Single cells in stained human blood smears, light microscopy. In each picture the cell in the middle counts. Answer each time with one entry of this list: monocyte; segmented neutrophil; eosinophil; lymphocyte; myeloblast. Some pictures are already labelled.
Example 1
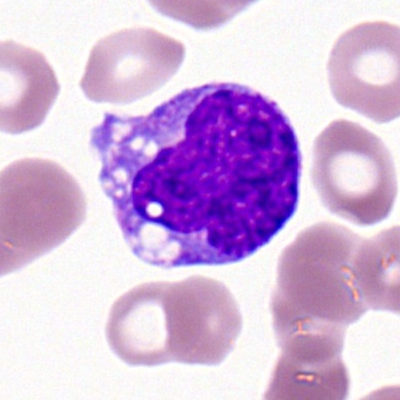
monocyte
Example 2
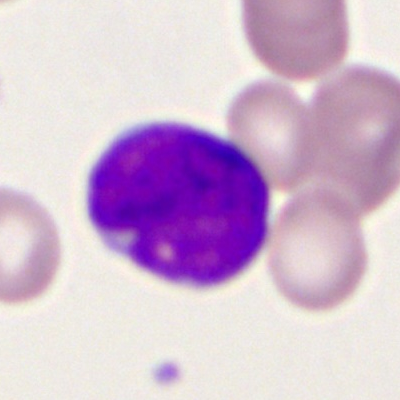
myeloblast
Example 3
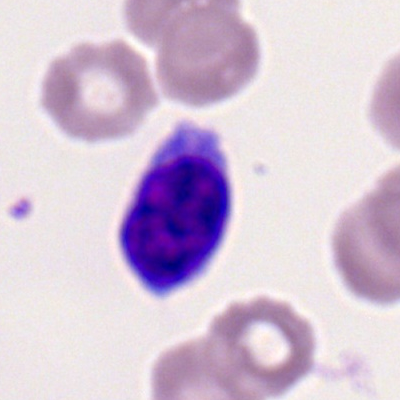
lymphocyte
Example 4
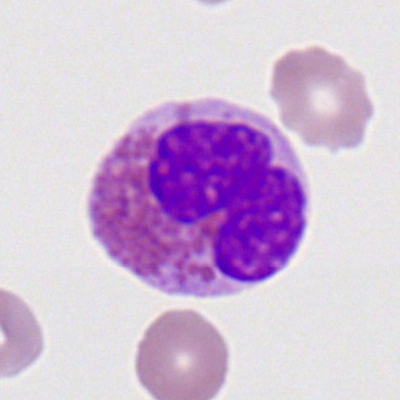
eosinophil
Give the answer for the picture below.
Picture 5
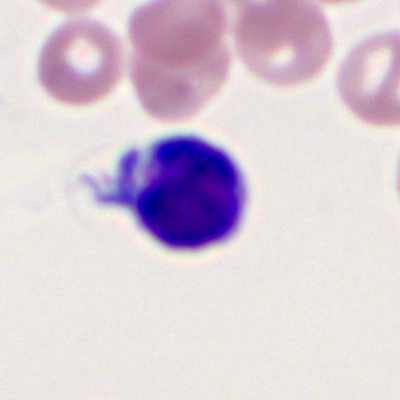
lymphocyte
